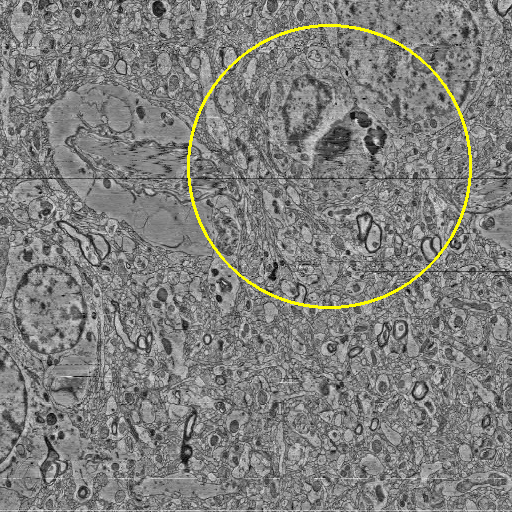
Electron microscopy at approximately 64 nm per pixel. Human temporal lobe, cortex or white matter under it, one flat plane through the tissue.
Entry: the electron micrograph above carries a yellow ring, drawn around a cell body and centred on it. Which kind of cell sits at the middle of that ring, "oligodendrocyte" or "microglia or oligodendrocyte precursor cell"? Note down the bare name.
oligodendrocyte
